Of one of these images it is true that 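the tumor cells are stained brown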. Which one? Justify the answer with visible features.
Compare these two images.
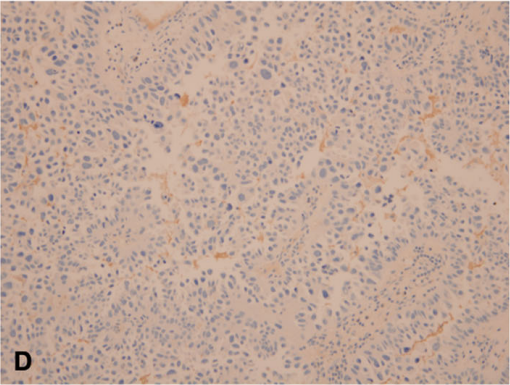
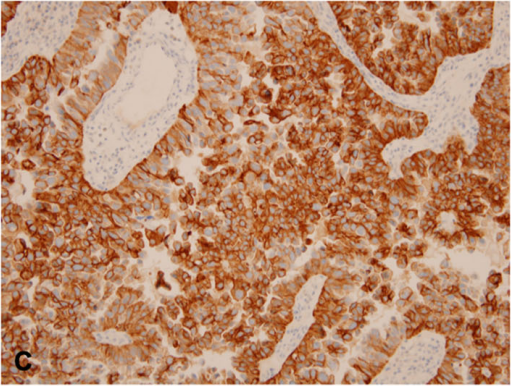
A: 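The second image. First image: tumor cells are unstained, only blue nuclei with faint background. Second image: tumor cells show strong brown membrane and cytoplasmic staining while stroma stays pale.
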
